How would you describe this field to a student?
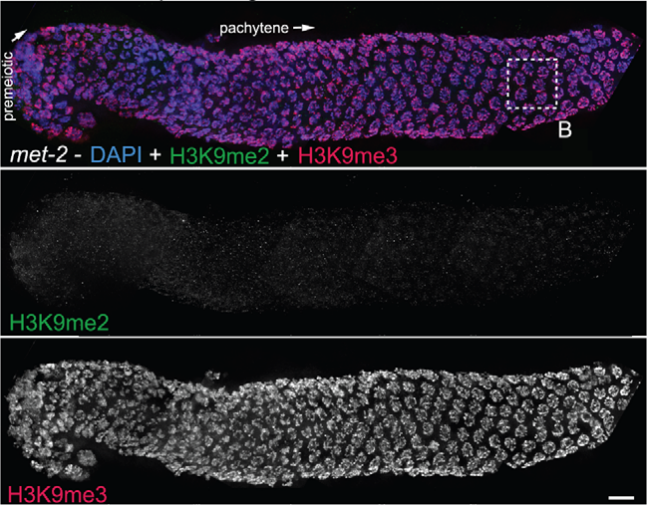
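Hundreds of small, round nuclei are packed closely along its length, with the less orderly region at the left end and rows of nuclei holding thread-like, condensed chromosomes toward the right. In the merged top image and the bottom single-channel image, every nucleus is outlined by bright chromosomal staining. The middle image, by contrast, shows only a faint, scattered speckle with no staining that follows the chromosomes.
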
